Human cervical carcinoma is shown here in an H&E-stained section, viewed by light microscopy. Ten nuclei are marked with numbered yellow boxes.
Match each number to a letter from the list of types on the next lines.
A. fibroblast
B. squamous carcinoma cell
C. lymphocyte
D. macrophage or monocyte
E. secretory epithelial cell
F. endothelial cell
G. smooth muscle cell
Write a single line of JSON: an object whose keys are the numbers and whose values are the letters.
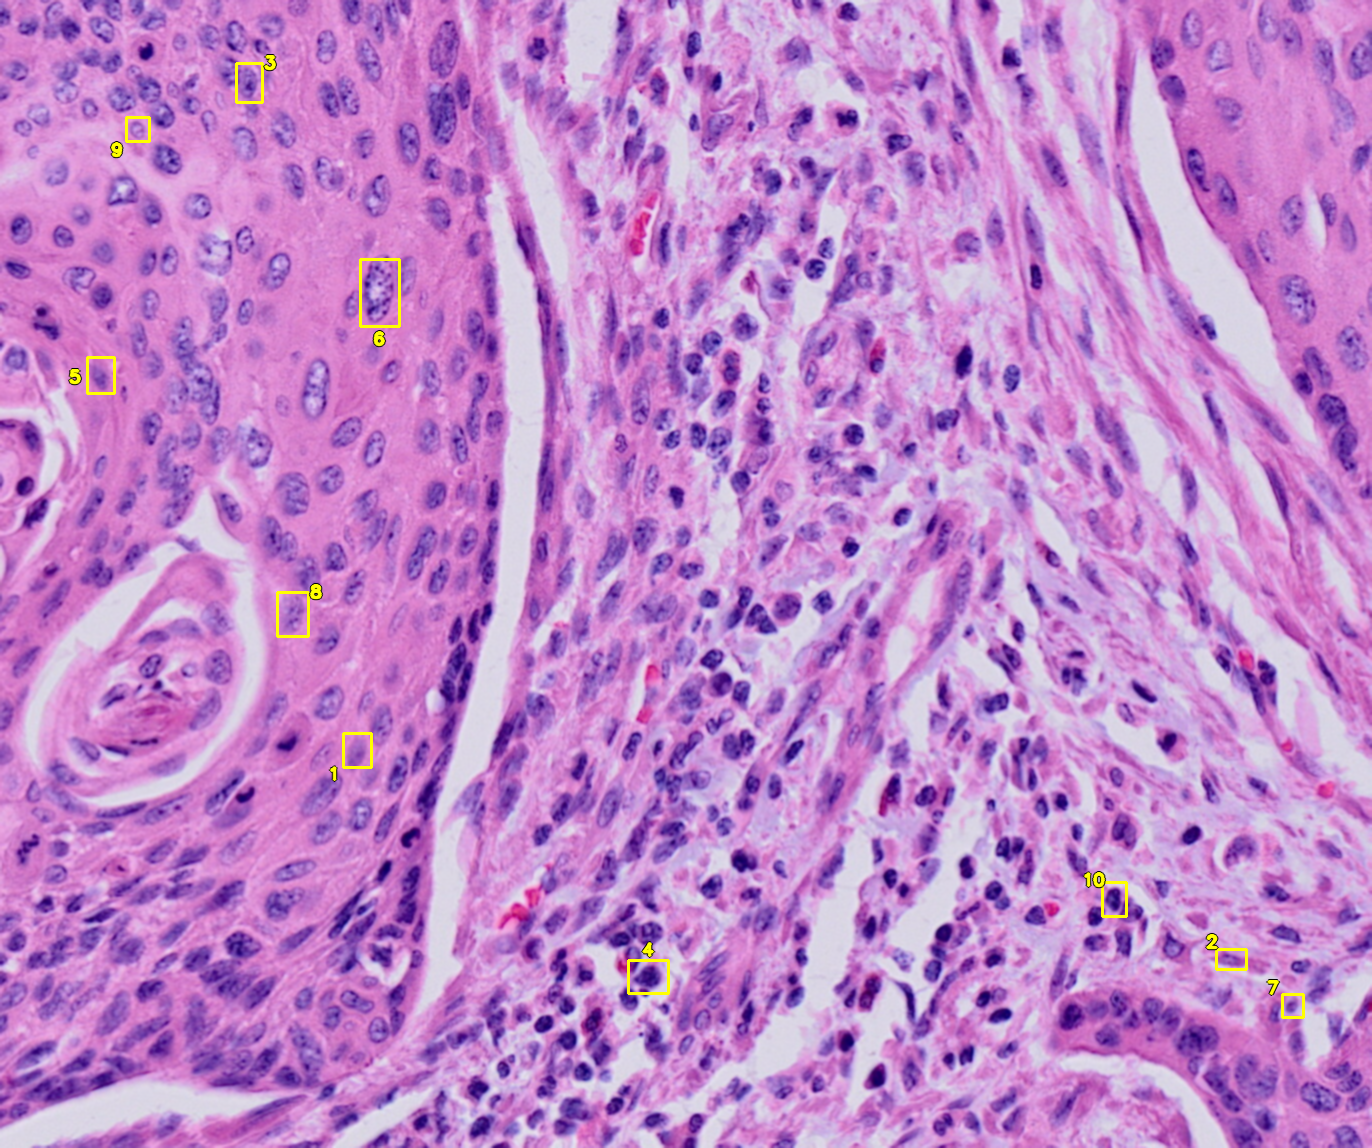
{"1": "B", "2": "A", "3": "B", "4": "C", "5": "B", "6": "B", "7": "A", "8": "B", "9": "B", "10": "C"}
